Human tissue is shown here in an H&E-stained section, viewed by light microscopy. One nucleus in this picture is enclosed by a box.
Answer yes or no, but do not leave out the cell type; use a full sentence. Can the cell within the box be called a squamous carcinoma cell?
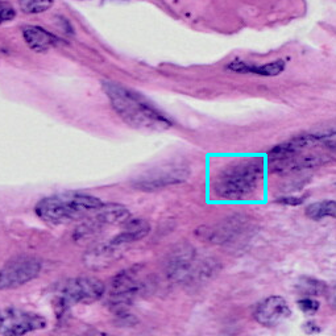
Yes, the cell within the box is, by type, a squamous carcinoma cell.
